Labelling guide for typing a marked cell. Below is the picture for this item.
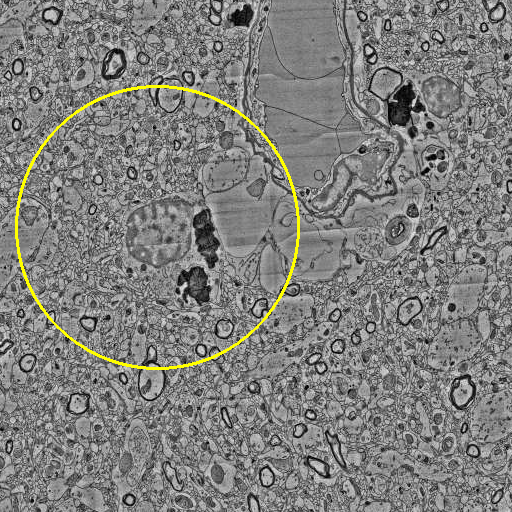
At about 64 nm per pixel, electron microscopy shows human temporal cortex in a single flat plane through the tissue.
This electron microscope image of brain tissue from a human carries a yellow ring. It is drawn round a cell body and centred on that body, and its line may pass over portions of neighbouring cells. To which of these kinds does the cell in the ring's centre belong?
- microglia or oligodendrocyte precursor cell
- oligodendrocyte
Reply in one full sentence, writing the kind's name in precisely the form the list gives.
Here we have an oligodendrocyte at the centre of the yellow ring in the picture.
